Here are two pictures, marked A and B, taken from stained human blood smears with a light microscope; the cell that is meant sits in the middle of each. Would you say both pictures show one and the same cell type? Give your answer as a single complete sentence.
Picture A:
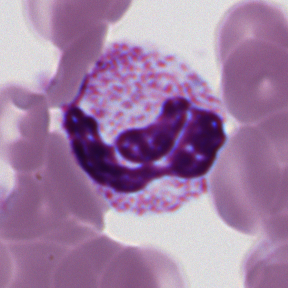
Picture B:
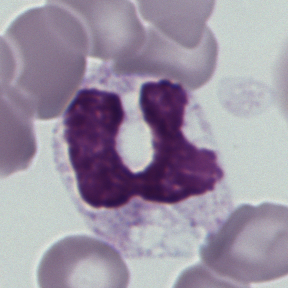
Yes, the two pictures both show segmented neutrophils.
